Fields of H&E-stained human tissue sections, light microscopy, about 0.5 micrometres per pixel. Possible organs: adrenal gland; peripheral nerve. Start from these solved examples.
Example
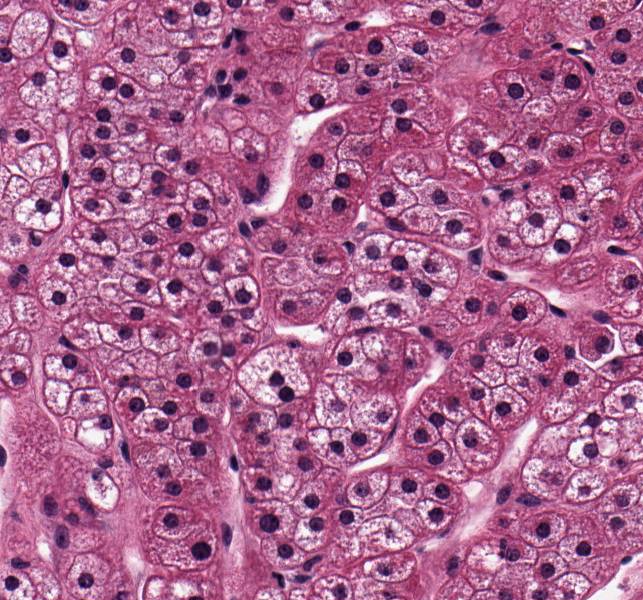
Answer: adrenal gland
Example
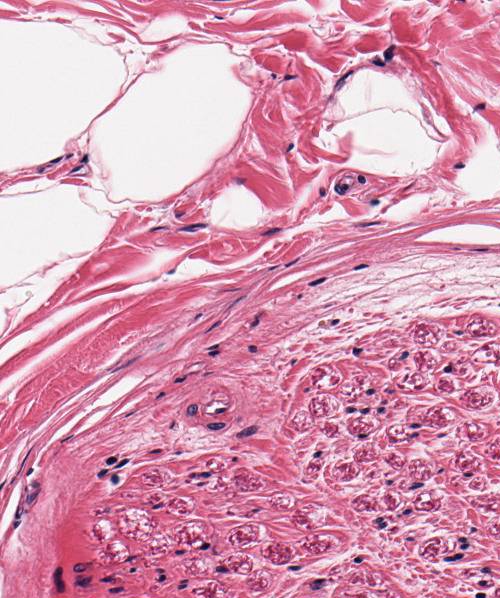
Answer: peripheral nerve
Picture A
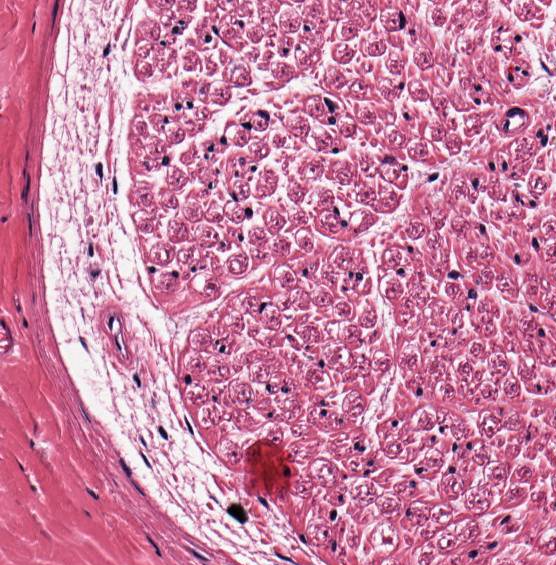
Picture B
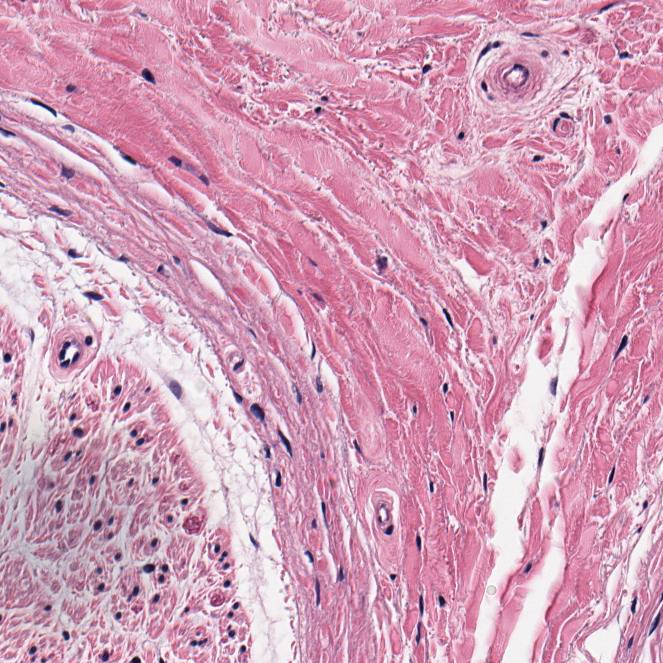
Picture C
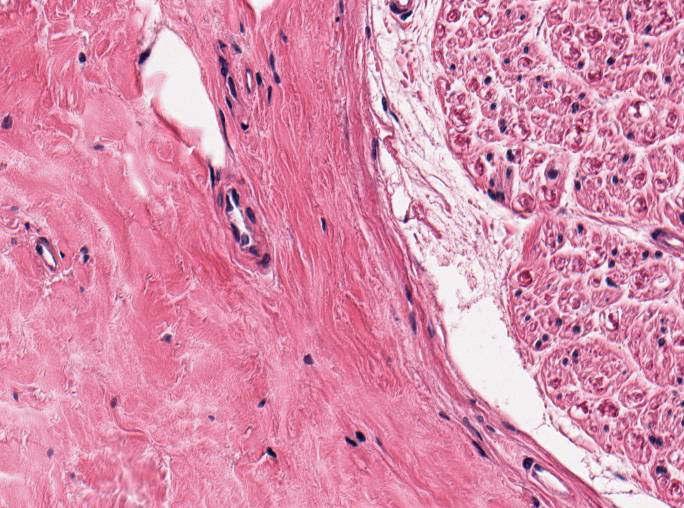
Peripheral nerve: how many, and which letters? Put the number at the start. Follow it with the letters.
3: A, B, C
